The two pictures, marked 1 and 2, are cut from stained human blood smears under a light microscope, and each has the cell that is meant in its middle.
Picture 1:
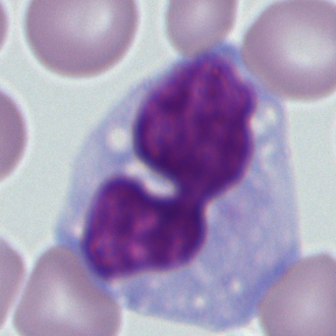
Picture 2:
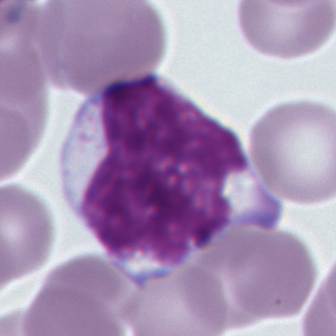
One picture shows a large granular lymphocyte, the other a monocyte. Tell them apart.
1: monocyte
2: large granular lymphocyte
